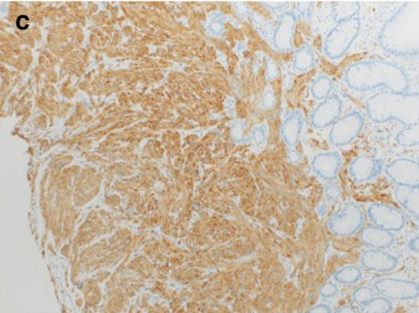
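A broad mass of spindle cells arranged in sweeping fascicles occupies most of the field and is stained a diffuse deep brown. At the right, round and oval glands with blue nuclei stay unstained, and thin brown strands run in the stroma between them. The brown mass abuts the glands directly, lying within the mucosa.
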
